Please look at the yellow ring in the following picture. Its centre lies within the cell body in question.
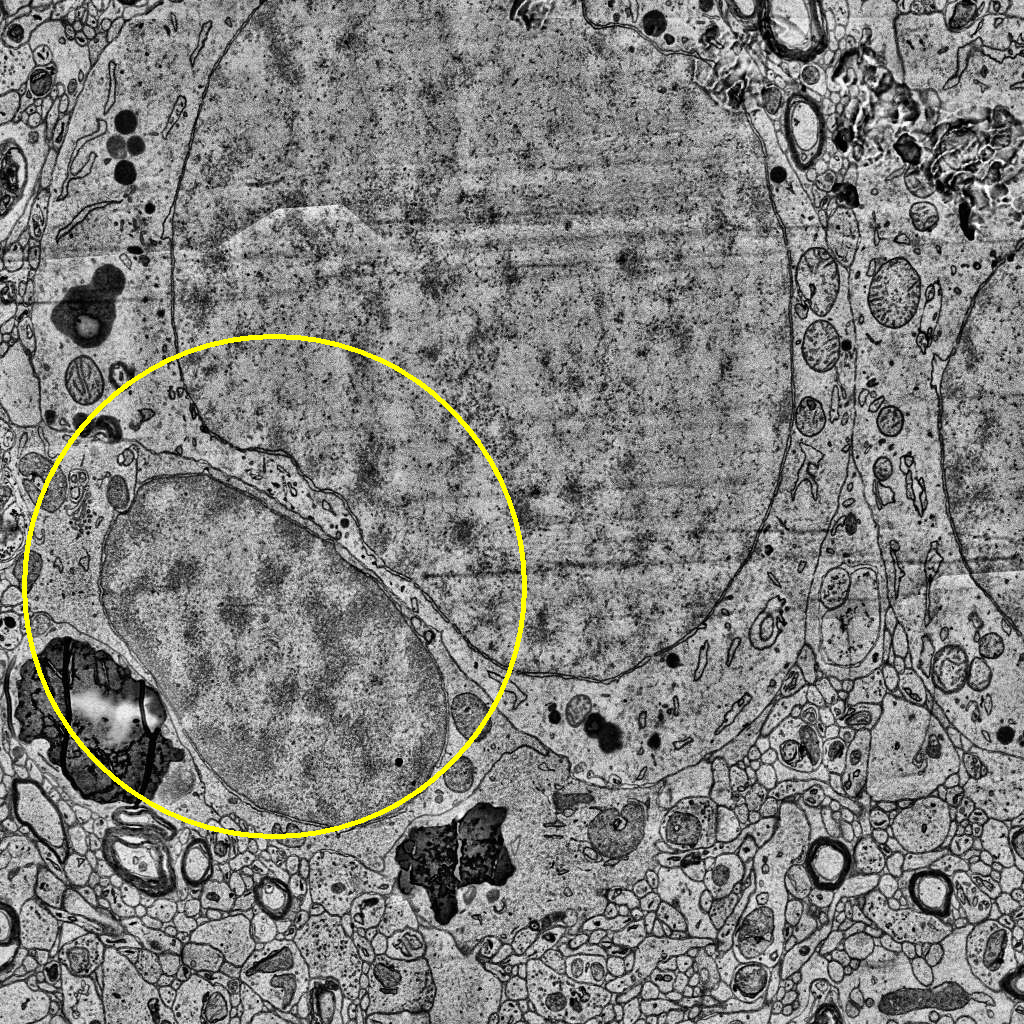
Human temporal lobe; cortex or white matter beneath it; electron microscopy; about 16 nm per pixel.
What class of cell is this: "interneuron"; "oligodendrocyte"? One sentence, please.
The centre of the ring lies in the cell body of an oligodendrocyte.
